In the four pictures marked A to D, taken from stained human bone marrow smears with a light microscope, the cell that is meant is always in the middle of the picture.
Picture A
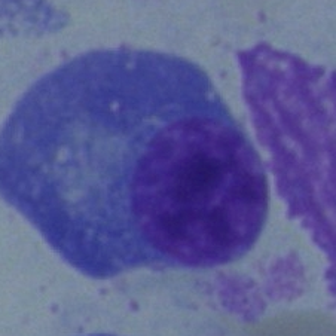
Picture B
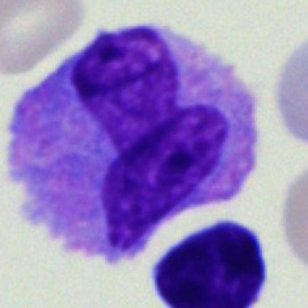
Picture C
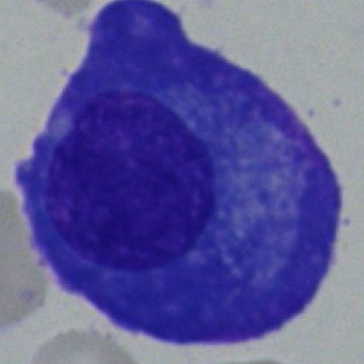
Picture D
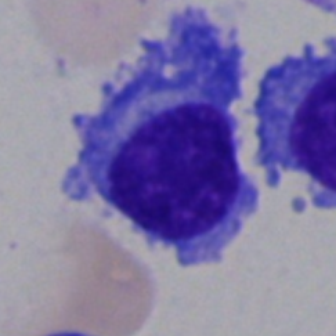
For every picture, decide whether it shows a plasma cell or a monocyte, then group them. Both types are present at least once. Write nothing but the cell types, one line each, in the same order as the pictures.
plasma cell
monocyte
plasma cell
plasma cell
